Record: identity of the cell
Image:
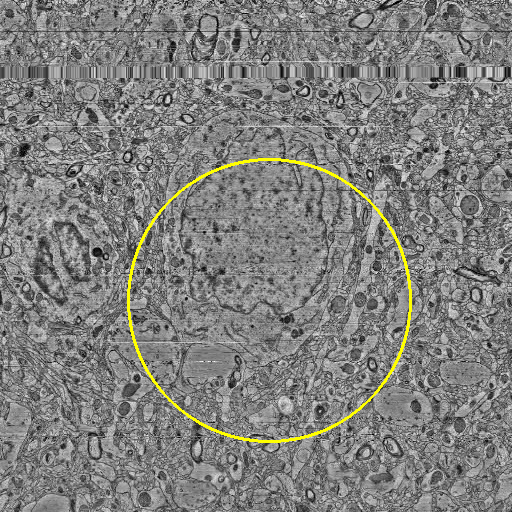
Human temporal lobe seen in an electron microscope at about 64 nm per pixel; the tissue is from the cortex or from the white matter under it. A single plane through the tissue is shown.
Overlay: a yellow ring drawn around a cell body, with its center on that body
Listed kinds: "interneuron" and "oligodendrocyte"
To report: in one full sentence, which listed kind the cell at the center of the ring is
In the image, the cell body at the ring's center belongs to an interneuron.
